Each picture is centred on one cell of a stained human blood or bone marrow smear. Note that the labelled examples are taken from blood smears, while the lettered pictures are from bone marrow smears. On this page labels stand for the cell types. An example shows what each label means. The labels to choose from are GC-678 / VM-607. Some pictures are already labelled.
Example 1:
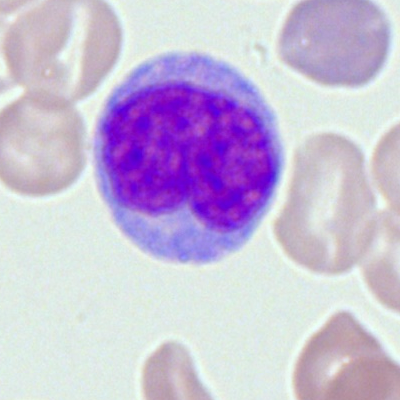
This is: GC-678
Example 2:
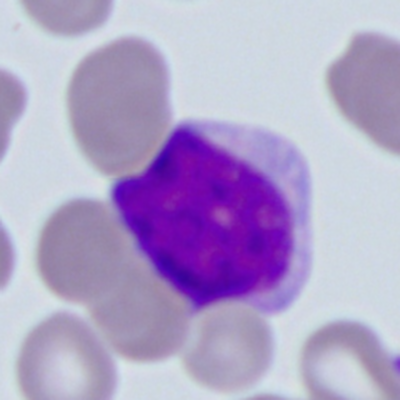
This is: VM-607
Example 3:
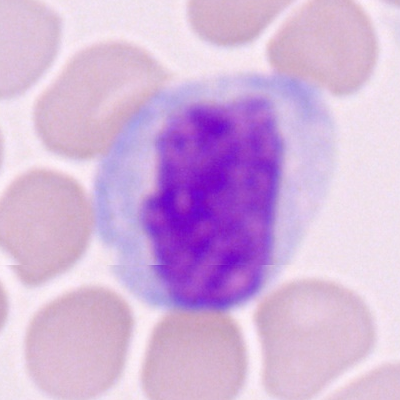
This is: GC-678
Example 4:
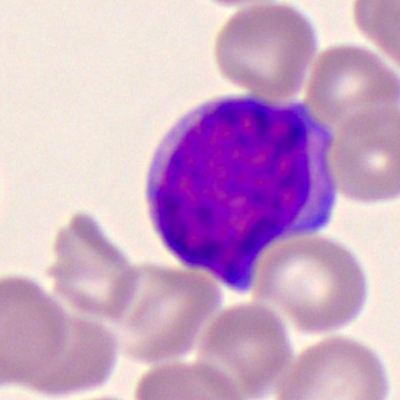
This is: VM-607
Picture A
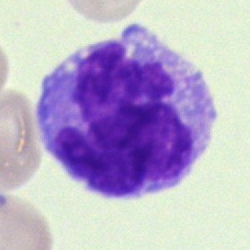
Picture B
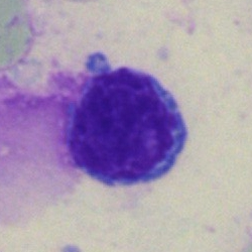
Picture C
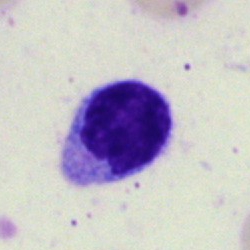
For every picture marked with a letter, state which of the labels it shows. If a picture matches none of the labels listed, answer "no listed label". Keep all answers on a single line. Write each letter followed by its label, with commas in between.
A GC-678, B no listed label, C no listed label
